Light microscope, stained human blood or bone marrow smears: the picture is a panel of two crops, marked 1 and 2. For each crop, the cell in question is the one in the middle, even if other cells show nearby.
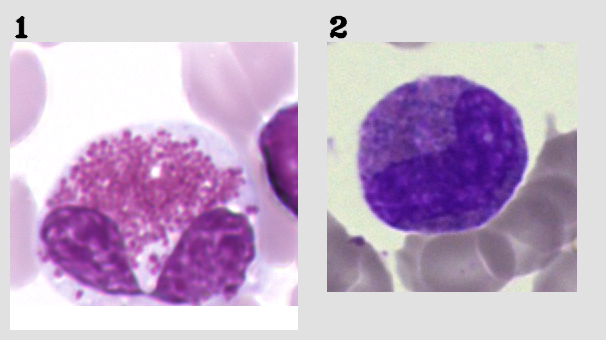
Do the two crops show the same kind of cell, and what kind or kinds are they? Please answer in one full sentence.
Yes, the cells that both crops show at the centre are eosinophils.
